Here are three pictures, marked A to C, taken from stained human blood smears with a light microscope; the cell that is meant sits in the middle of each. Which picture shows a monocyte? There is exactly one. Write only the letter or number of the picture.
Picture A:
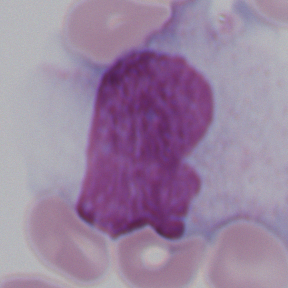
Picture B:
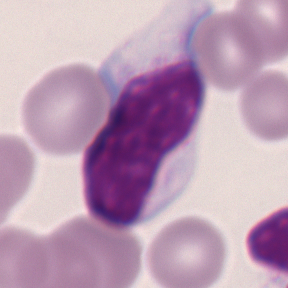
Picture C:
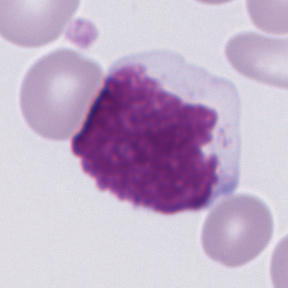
A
